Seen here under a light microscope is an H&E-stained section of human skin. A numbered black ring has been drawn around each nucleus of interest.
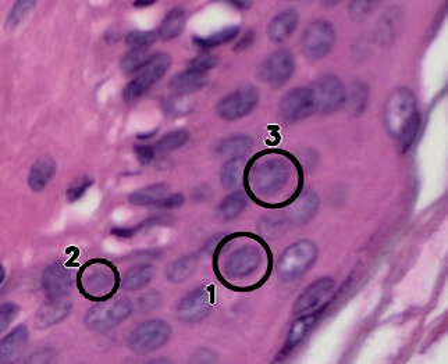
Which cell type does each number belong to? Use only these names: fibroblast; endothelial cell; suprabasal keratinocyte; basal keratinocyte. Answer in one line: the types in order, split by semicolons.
suprabasal keratinocyte; basal keratinocyte; suprabasal keratinocyte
